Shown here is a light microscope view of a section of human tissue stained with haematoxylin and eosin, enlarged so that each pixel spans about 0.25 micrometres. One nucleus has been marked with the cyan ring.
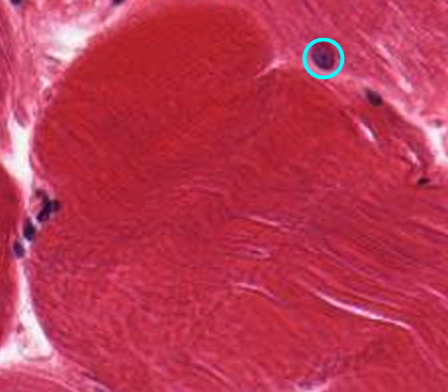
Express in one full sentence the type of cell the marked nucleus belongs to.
The marked nucleus is that of a skeletal muscle fibre in this section.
